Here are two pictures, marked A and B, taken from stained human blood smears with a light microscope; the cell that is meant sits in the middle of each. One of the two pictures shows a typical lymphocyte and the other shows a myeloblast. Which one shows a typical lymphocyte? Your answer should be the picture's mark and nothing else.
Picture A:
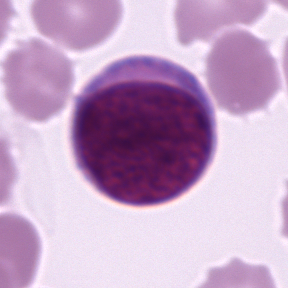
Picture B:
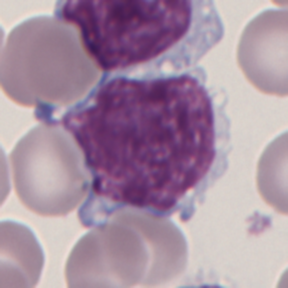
B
